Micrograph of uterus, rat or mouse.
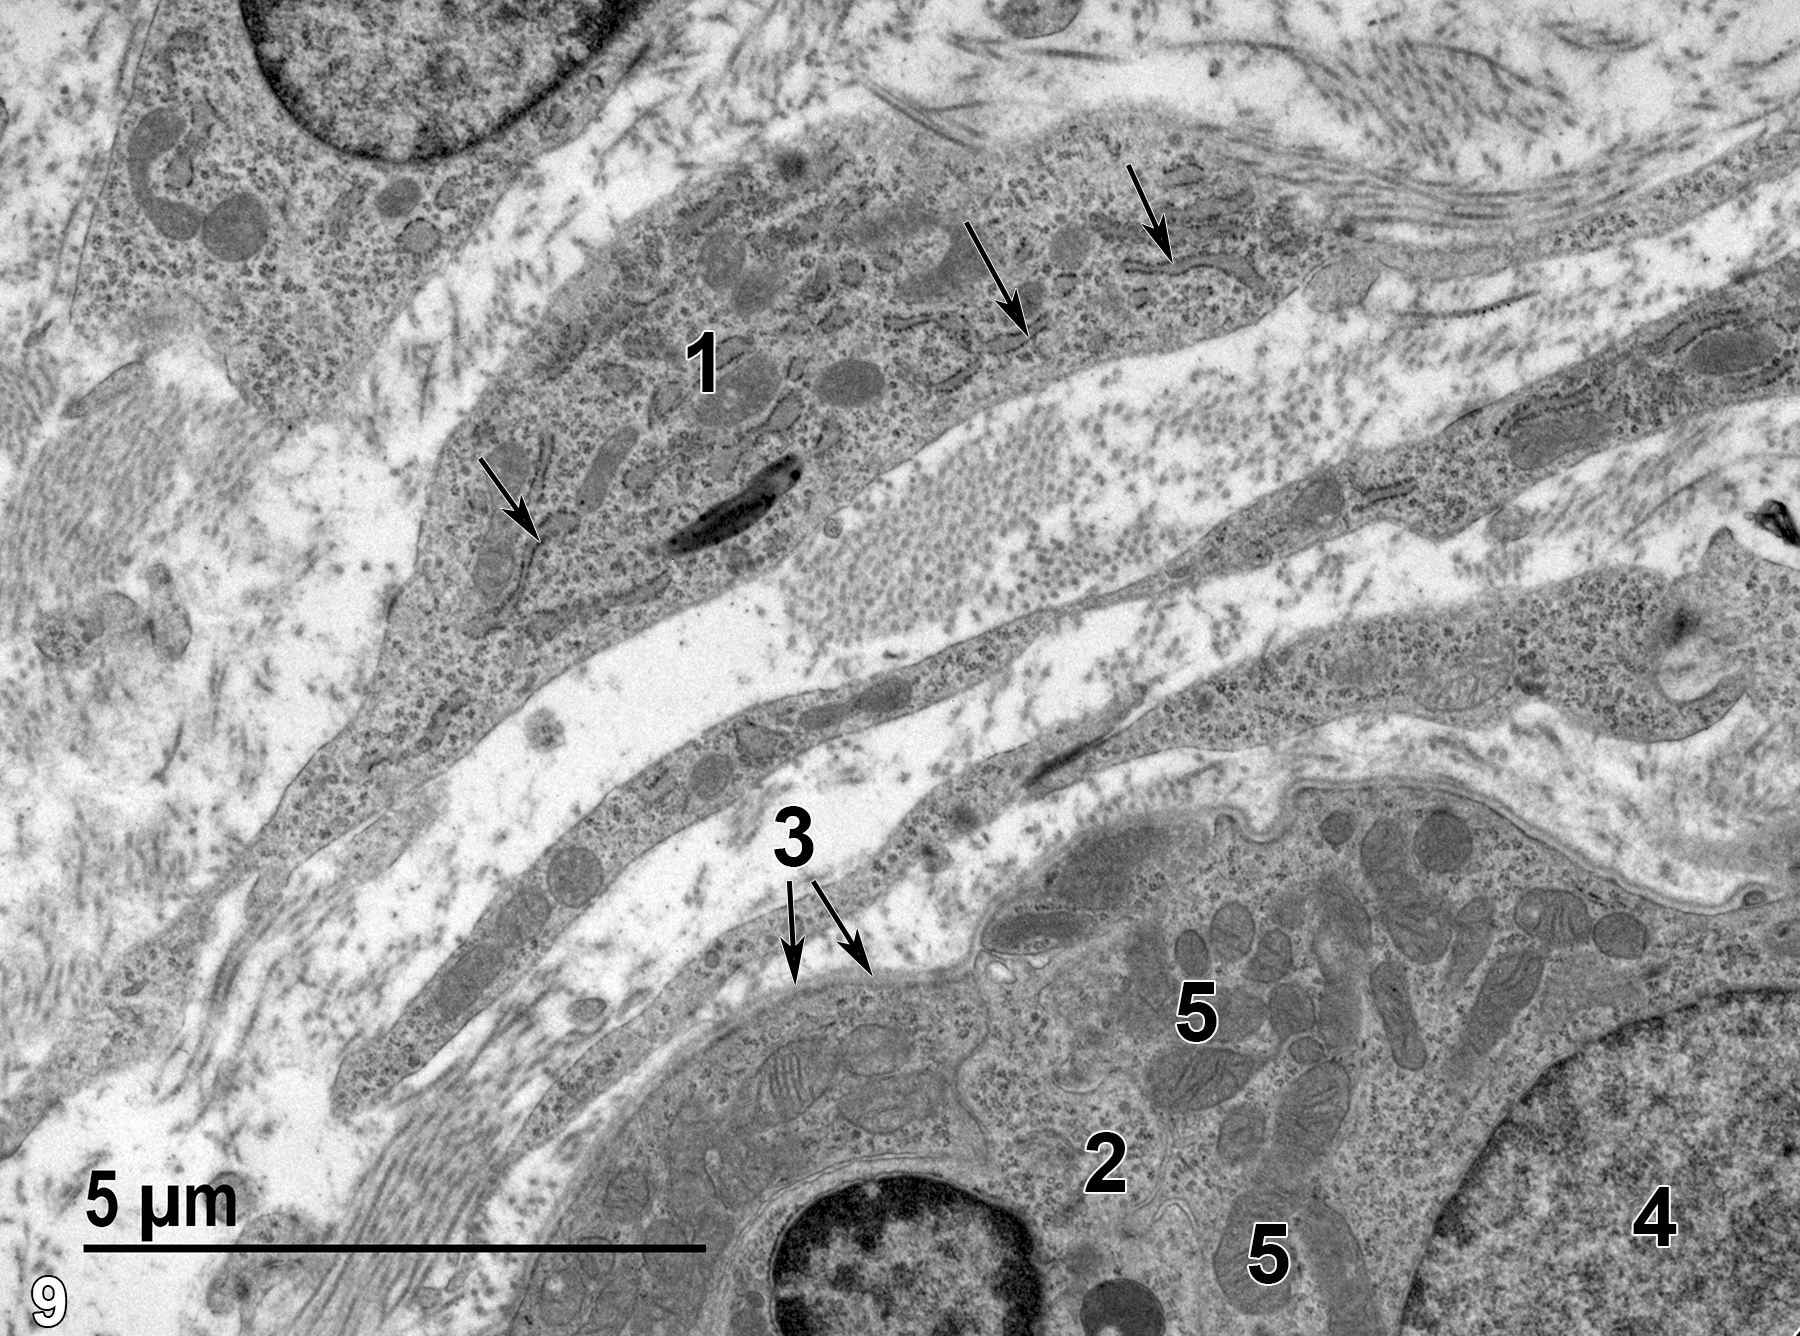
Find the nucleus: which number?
Number 4.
